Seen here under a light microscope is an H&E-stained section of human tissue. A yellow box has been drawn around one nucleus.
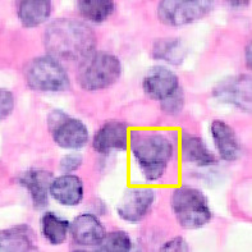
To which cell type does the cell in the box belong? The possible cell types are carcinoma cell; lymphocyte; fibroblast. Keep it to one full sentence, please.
In this tissue section, the cell in the box is to be classed as a carcinoma cell.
